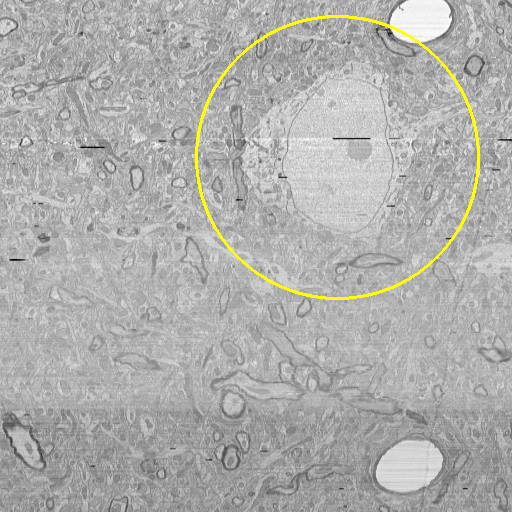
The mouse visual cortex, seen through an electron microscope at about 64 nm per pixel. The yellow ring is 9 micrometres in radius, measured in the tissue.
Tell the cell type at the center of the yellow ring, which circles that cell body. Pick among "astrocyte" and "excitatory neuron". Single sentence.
The ring is centered on the body of an excitatory neuron.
